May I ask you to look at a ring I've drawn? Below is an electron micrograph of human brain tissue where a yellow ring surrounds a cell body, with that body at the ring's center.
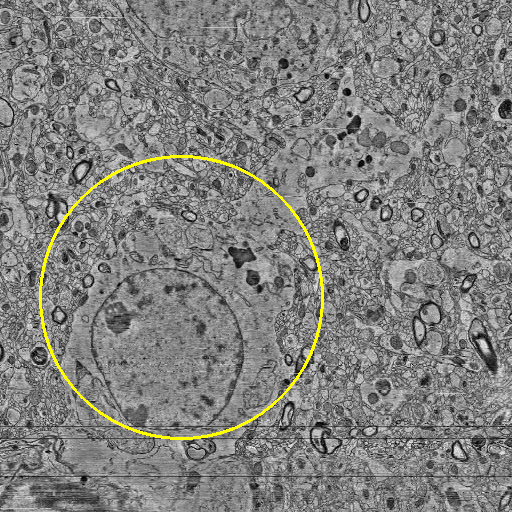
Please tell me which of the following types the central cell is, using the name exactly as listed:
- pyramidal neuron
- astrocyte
astrocyte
